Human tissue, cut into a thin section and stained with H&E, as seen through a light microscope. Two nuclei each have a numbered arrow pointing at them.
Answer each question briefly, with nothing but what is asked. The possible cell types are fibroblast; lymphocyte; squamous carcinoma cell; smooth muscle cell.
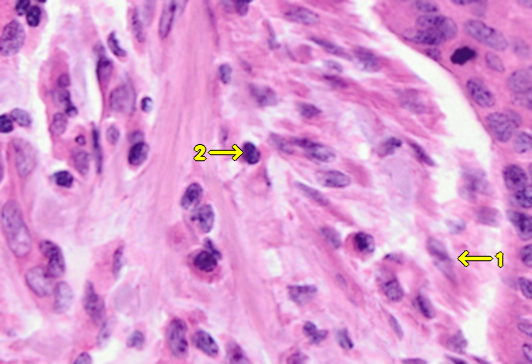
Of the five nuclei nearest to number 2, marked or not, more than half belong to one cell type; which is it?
fibroblast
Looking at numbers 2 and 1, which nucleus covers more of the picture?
1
